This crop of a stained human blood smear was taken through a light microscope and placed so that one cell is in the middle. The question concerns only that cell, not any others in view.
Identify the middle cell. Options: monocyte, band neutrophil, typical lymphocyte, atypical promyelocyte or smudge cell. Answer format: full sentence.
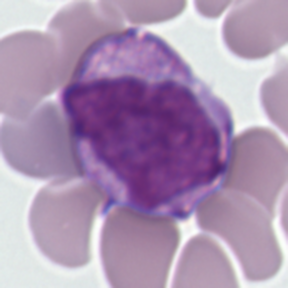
Where the crop is centred, there is an atypical promyelocyte.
